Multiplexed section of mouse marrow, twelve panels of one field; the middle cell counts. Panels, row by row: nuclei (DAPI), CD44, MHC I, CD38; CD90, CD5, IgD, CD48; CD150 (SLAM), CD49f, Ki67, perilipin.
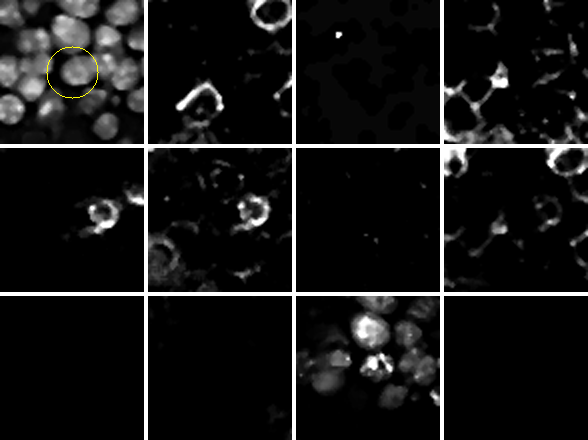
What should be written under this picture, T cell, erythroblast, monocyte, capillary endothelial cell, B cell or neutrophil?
erythroblast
